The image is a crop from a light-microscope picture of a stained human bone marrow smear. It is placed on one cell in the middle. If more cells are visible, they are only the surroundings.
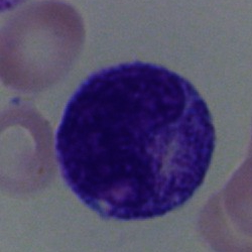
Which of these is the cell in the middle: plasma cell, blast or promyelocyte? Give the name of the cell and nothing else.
promyelocyte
